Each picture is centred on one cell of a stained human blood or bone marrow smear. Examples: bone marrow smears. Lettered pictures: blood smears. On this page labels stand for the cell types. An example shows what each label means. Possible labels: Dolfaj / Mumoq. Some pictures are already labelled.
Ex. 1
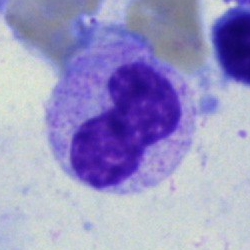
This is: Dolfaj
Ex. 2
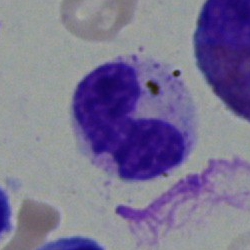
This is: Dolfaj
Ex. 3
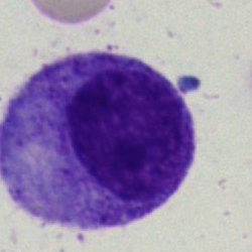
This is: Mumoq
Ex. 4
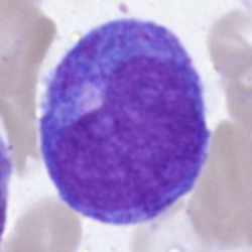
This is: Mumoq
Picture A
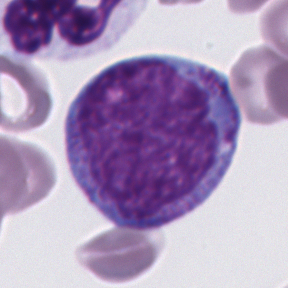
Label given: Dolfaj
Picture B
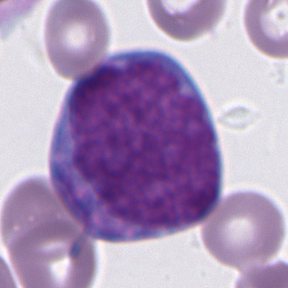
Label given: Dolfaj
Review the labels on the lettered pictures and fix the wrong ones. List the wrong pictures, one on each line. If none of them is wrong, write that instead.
Wrong: A (Dolfaj); correct: Mumoq
Wrong: B (Dolfaj); correct: Mumoq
